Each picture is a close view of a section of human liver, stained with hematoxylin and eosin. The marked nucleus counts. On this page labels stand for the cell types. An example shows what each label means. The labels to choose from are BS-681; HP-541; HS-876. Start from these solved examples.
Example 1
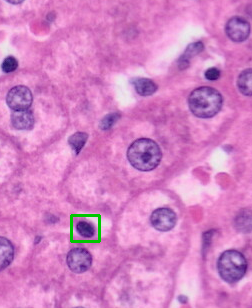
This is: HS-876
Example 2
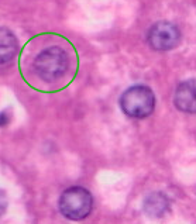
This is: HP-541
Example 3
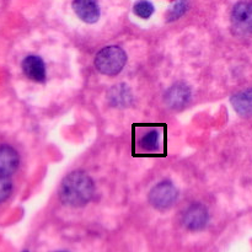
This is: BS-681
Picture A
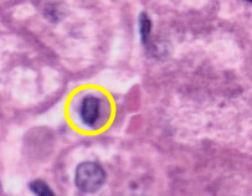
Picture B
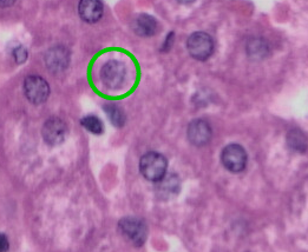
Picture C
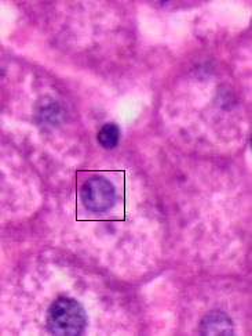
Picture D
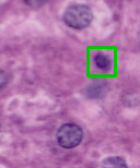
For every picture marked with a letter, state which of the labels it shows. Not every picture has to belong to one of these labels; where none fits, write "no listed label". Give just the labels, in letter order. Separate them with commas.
no listed label, HP-541, HP-541, HS-876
